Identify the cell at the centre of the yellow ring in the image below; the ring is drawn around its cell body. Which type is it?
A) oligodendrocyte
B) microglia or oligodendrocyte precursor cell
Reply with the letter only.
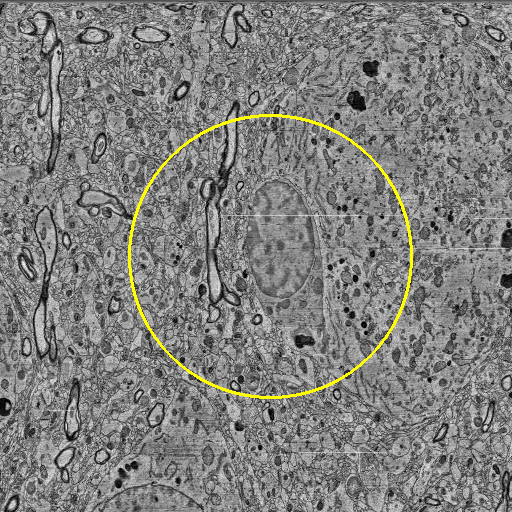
A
